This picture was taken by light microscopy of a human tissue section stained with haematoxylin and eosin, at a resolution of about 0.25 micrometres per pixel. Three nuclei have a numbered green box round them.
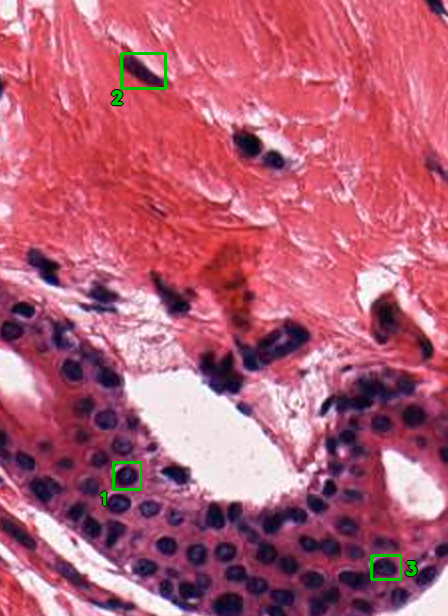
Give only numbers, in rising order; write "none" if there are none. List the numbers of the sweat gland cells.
1, 3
